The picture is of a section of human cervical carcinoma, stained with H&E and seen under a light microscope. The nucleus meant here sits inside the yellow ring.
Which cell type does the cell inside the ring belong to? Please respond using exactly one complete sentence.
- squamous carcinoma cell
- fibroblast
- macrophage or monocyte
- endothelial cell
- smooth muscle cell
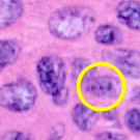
Cytologically, the cell inside the ring is to be regarded as a squamous carcinoma cell.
